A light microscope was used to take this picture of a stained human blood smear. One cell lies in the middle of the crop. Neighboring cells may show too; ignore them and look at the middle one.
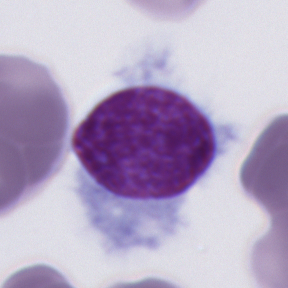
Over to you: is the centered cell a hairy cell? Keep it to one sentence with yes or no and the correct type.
Yes, the cell at the centre of the field is a hairy cell.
